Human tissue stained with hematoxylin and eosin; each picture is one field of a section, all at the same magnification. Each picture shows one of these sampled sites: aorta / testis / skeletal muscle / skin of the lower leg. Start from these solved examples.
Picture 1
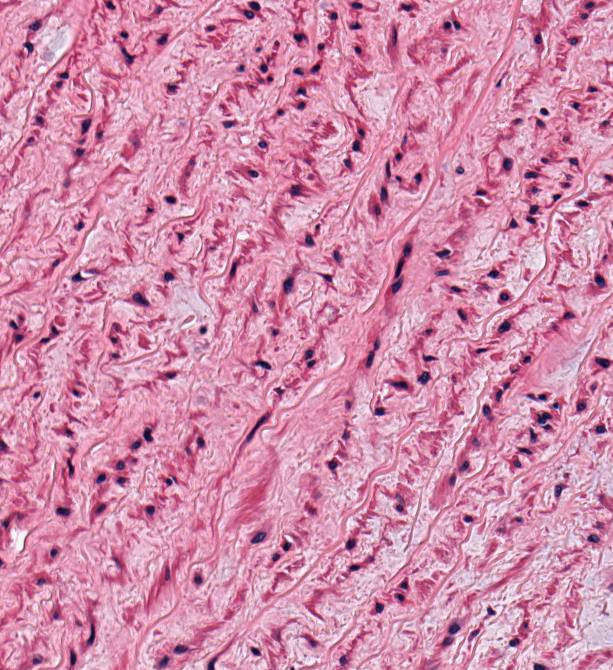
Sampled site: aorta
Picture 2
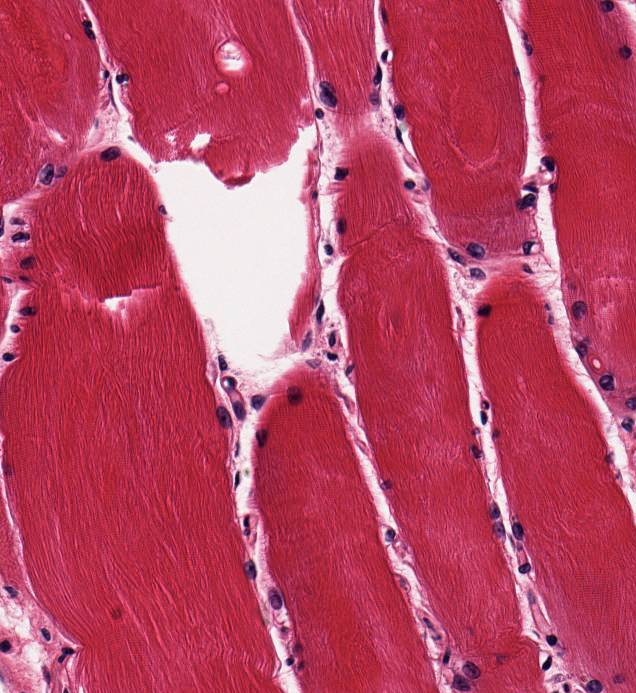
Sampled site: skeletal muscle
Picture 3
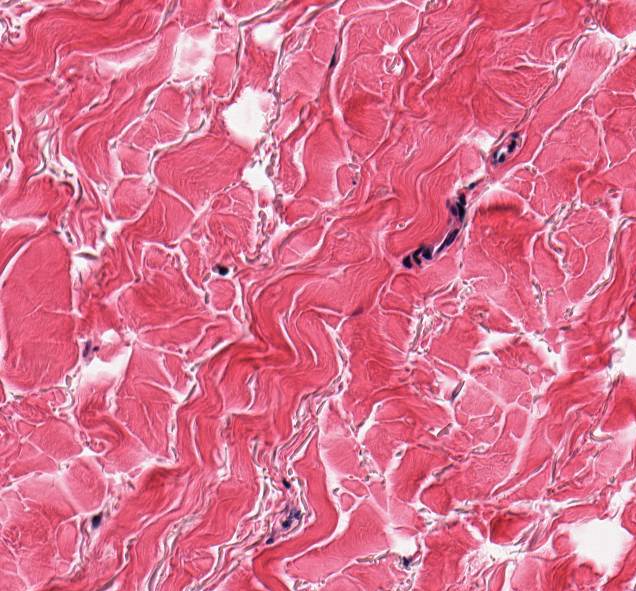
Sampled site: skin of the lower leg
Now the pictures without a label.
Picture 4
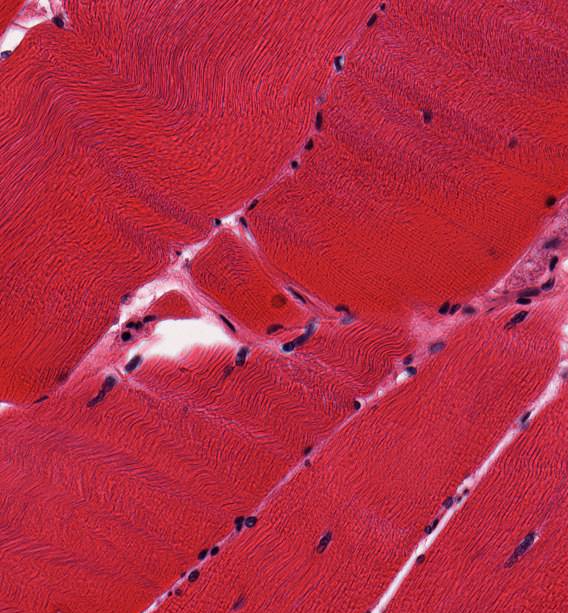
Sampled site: skeletal muscle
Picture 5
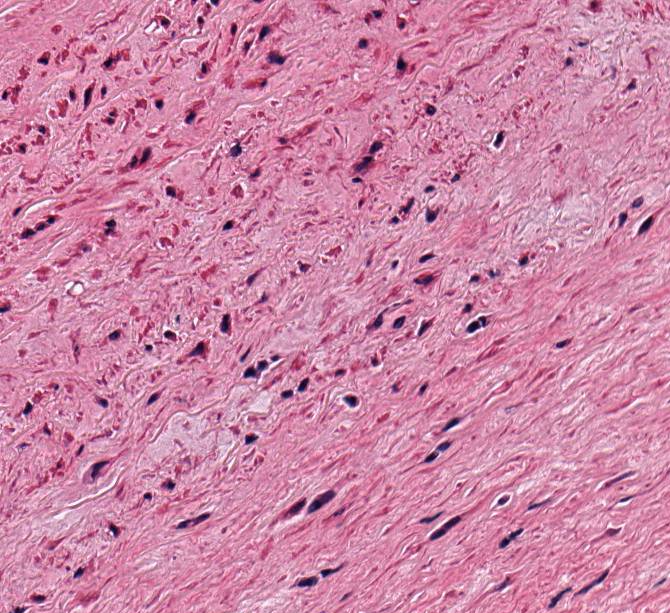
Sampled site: aorta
